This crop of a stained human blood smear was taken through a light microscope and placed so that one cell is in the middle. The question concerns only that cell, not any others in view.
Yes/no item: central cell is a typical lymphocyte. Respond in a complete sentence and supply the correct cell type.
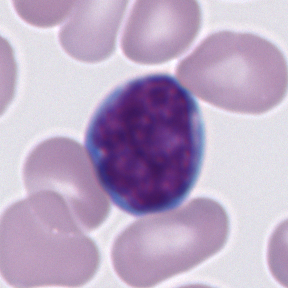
Yes, the cell in the center of this crop is a typical lymphocyte.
